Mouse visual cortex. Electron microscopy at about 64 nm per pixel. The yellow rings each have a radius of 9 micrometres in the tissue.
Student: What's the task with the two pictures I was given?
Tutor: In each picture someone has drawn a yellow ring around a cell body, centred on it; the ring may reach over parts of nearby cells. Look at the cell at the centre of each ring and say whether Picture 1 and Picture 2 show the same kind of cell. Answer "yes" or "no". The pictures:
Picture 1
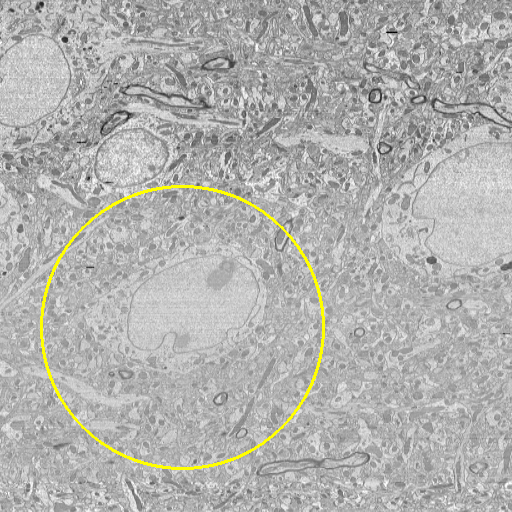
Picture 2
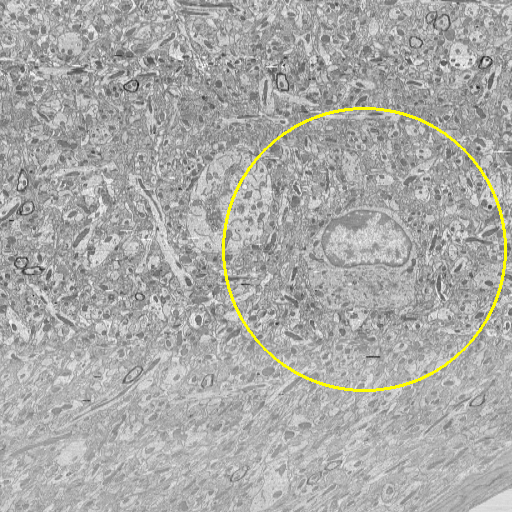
no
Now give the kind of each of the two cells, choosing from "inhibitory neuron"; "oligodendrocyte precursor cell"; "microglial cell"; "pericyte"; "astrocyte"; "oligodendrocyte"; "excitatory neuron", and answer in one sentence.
The cell in the first picture is an excitatory neuron, and the cell in the second is an oligodendrocyte.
